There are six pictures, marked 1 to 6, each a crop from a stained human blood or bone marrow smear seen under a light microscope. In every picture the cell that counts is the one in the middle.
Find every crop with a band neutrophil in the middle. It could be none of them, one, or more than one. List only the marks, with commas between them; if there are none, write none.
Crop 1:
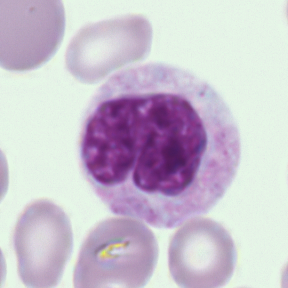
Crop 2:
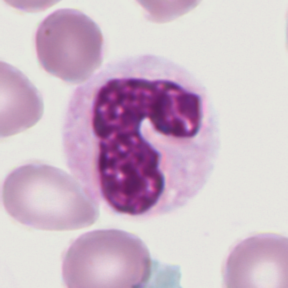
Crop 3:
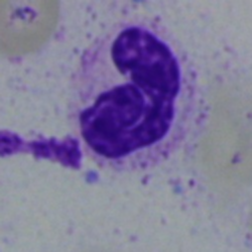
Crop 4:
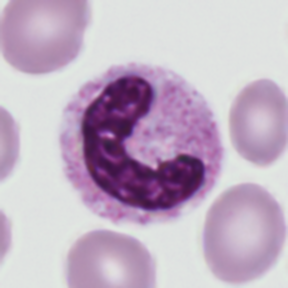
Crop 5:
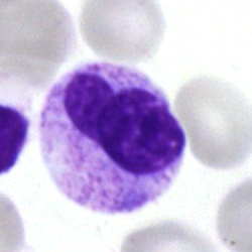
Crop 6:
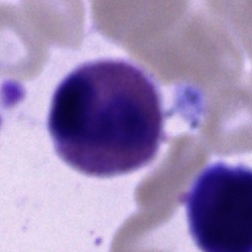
1, 2, 3, 4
